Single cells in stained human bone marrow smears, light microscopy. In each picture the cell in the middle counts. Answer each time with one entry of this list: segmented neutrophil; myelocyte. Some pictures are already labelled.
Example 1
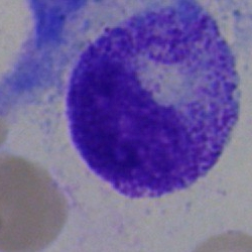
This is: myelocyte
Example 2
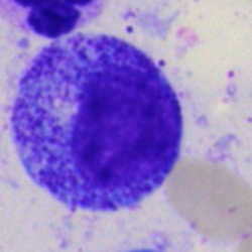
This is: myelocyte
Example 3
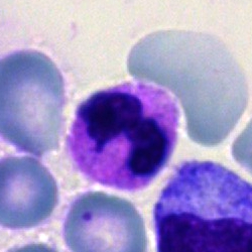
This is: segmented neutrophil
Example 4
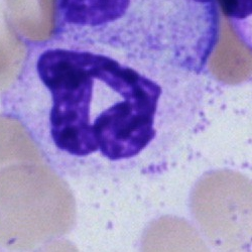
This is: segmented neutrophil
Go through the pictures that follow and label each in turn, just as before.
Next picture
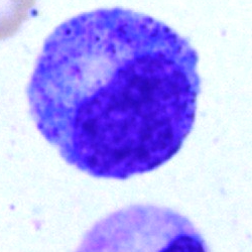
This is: myelocyte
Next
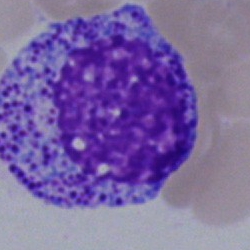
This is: myelocyte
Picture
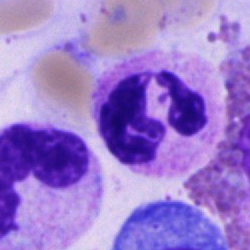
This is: segmented neutrophil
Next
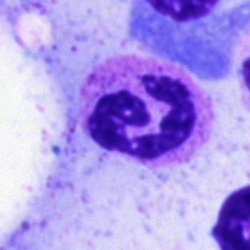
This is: segmented neutrophil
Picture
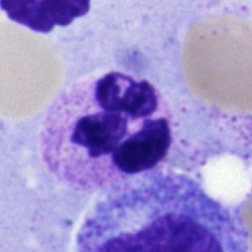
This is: segmented neutrophil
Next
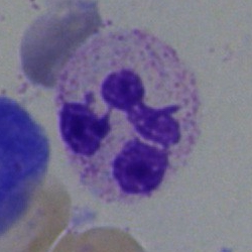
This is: segmented neutrophil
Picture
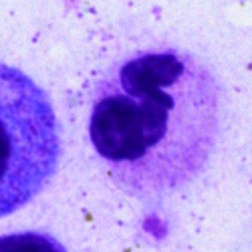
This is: segmented neutrophil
